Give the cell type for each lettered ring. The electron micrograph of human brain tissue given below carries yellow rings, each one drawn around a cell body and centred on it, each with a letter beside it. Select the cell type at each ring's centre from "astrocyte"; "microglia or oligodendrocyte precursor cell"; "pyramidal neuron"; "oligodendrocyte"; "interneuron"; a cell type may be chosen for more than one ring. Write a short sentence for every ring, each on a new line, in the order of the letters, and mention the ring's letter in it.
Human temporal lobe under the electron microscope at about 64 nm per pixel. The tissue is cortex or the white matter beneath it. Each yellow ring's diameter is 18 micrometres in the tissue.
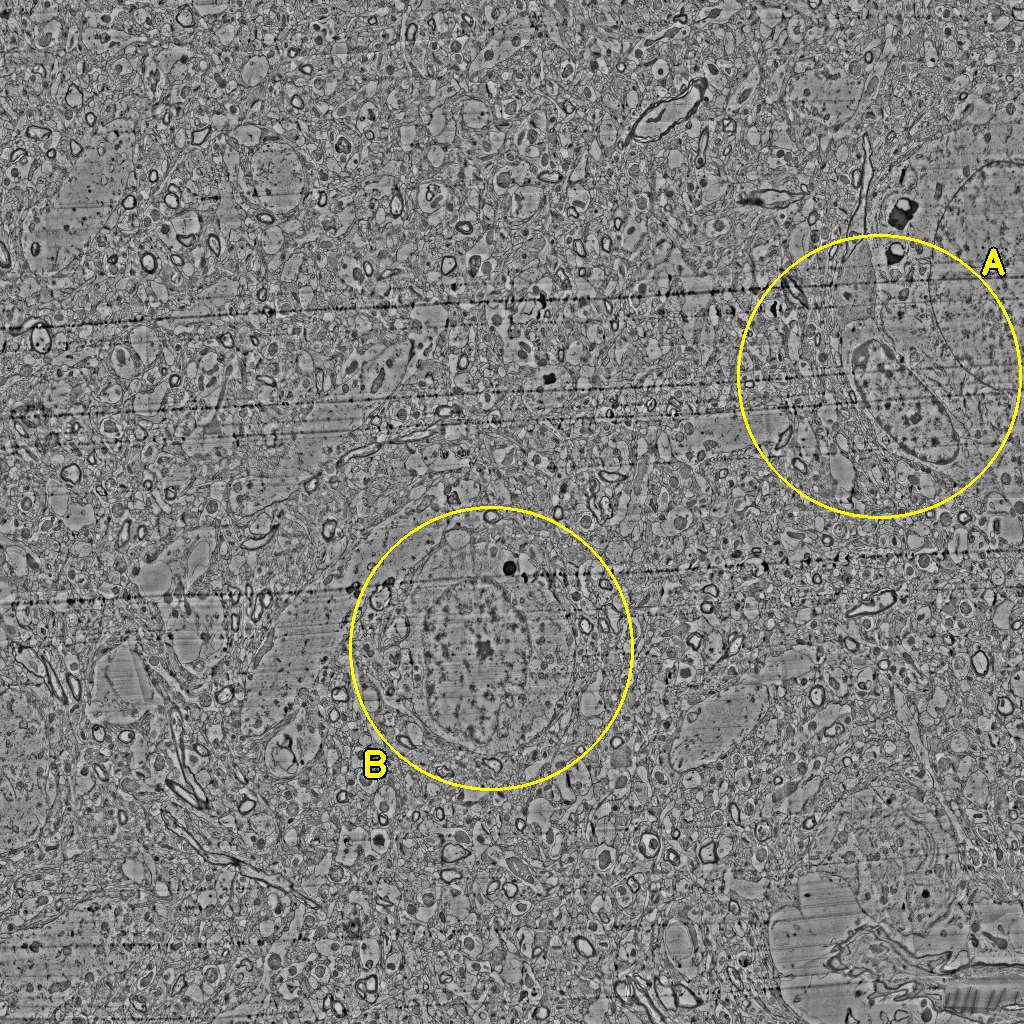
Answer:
The cell type for ring A is a microglial cell or oligodendrocyte precursor cell.
The cell type for ring B is an interneuron.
